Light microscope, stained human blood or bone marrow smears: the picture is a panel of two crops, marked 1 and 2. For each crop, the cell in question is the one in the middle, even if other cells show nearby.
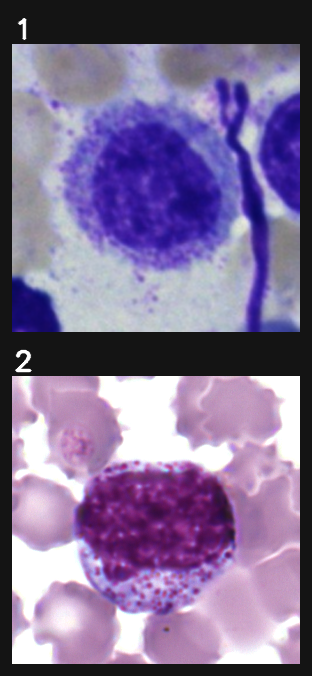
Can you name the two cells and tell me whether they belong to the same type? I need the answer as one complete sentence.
No, the middle of crop 1 holds a myelocyte, and the middle of crop 2 holds a metamyelocyte.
